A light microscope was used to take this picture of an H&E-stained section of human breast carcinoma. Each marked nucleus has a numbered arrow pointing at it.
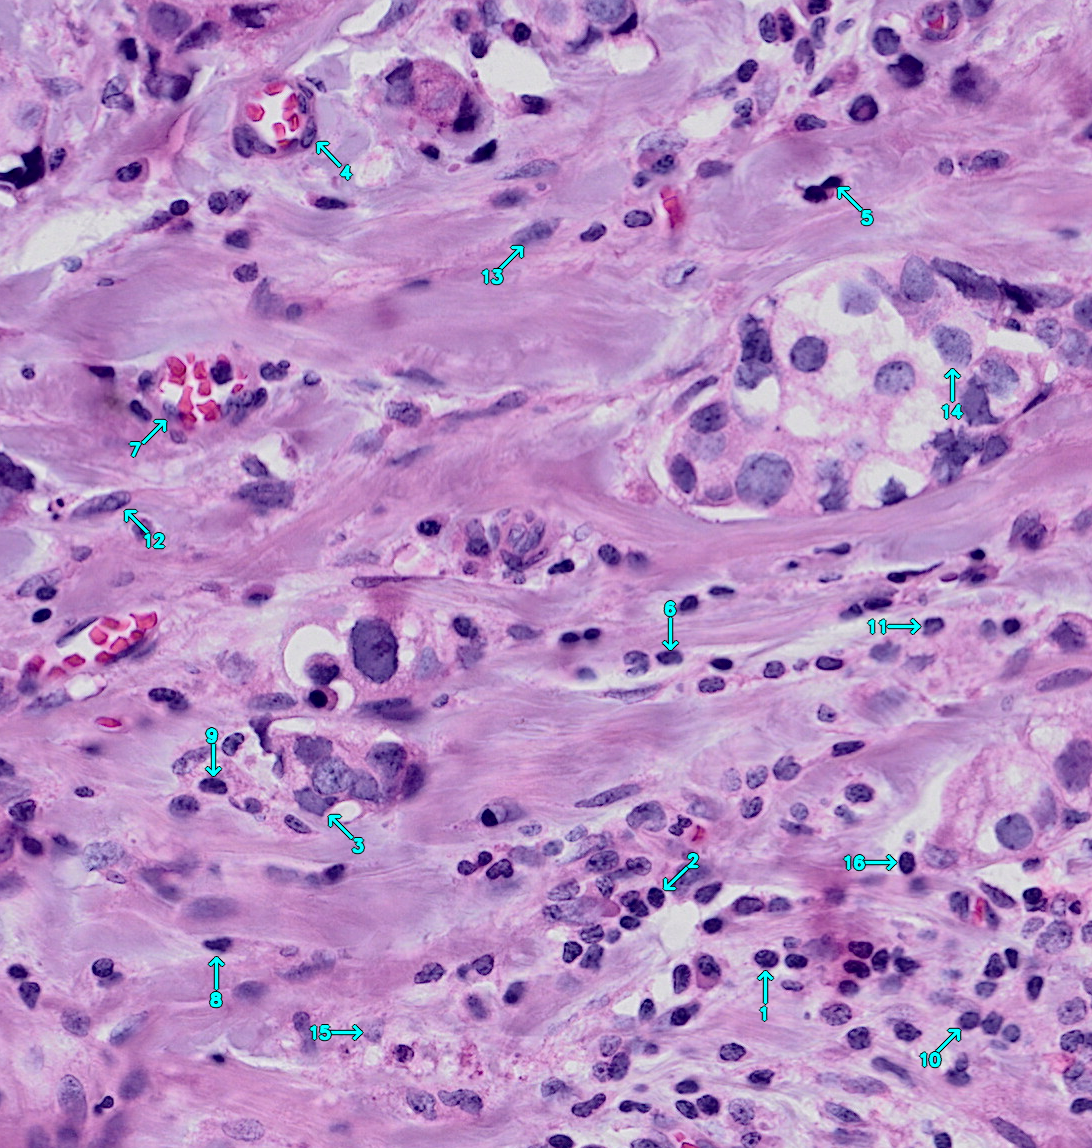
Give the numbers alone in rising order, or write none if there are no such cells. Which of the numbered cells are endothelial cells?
4, 7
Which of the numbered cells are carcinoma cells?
3, 14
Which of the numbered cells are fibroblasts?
12, 13, 15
